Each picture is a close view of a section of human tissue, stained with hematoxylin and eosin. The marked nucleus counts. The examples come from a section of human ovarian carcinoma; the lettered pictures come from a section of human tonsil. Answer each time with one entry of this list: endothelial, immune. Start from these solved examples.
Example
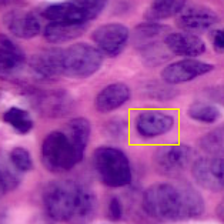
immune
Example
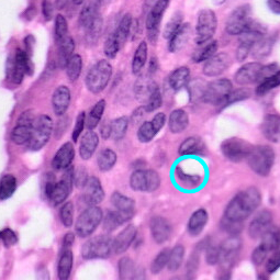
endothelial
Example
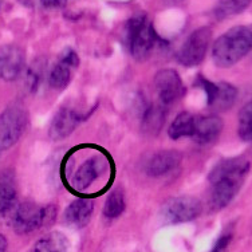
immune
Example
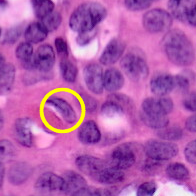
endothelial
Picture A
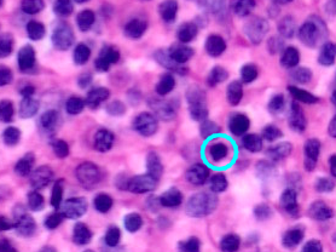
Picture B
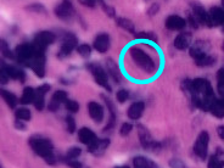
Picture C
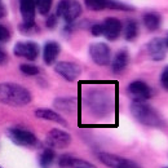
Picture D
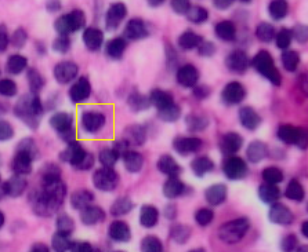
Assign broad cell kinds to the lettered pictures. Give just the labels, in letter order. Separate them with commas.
immune, endothelial, endothelial, immune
